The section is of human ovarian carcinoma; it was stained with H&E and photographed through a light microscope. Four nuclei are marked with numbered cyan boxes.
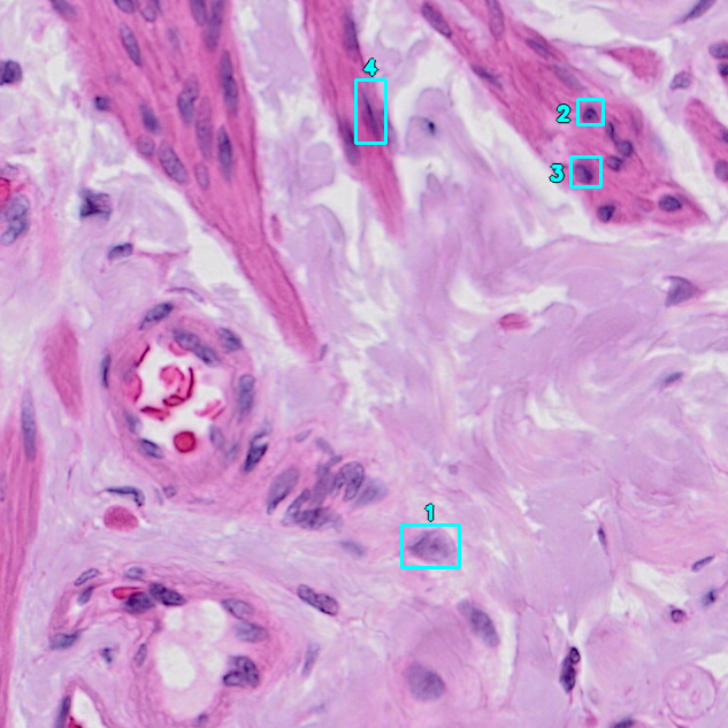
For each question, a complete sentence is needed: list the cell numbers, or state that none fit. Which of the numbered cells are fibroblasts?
Of the numbered cells, only cell 1 is a fibroblast.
